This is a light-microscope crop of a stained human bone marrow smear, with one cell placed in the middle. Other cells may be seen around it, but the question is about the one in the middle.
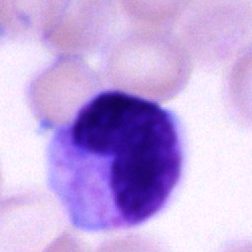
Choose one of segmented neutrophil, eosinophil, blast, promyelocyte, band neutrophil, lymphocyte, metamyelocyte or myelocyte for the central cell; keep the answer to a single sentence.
The cell that lies at the centre of the crop is a metamyelocyte.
